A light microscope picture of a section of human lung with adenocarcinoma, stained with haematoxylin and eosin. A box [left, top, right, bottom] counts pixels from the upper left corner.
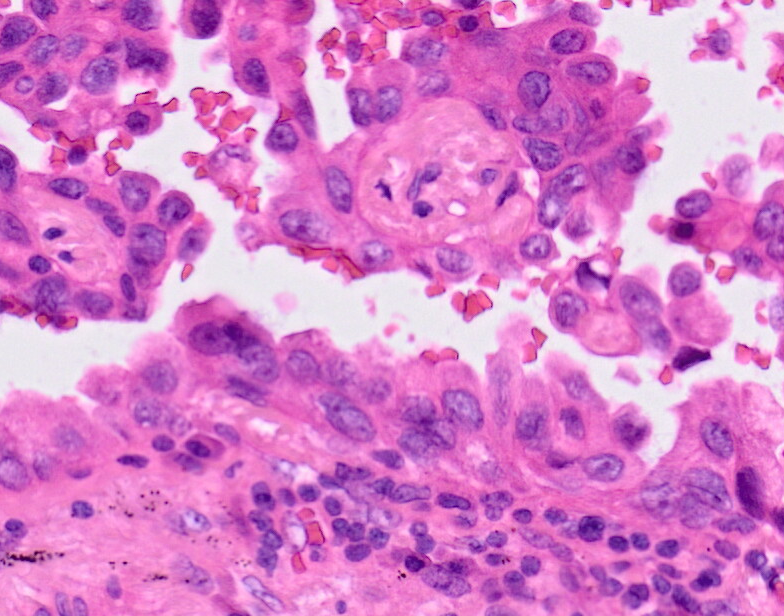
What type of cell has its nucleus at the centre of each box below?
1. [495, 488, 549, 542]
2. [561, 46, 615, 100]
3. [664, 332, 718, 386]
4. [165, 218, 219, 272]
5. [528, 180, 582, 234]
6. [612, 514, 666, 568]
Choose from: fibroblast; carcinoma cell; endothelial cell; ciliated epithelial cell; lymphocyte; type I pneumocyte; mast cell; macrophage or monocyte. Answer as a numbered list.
1. lymphocyte
2. carcinoma cell
3. carcinoma cell
4. carcinoma cell
5. carcinoma cell
6. lymphocyte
